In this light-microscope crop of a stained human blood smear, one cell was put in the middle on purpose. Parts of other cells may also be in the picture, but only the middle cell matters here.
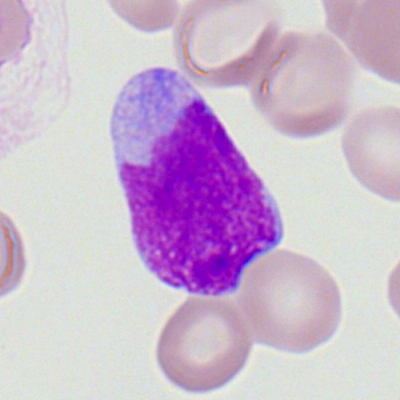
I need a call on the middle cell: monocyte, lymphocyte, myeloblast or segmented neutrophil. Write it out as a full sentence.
Looking at the middle of the crop, the cell there is a myeloblast.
